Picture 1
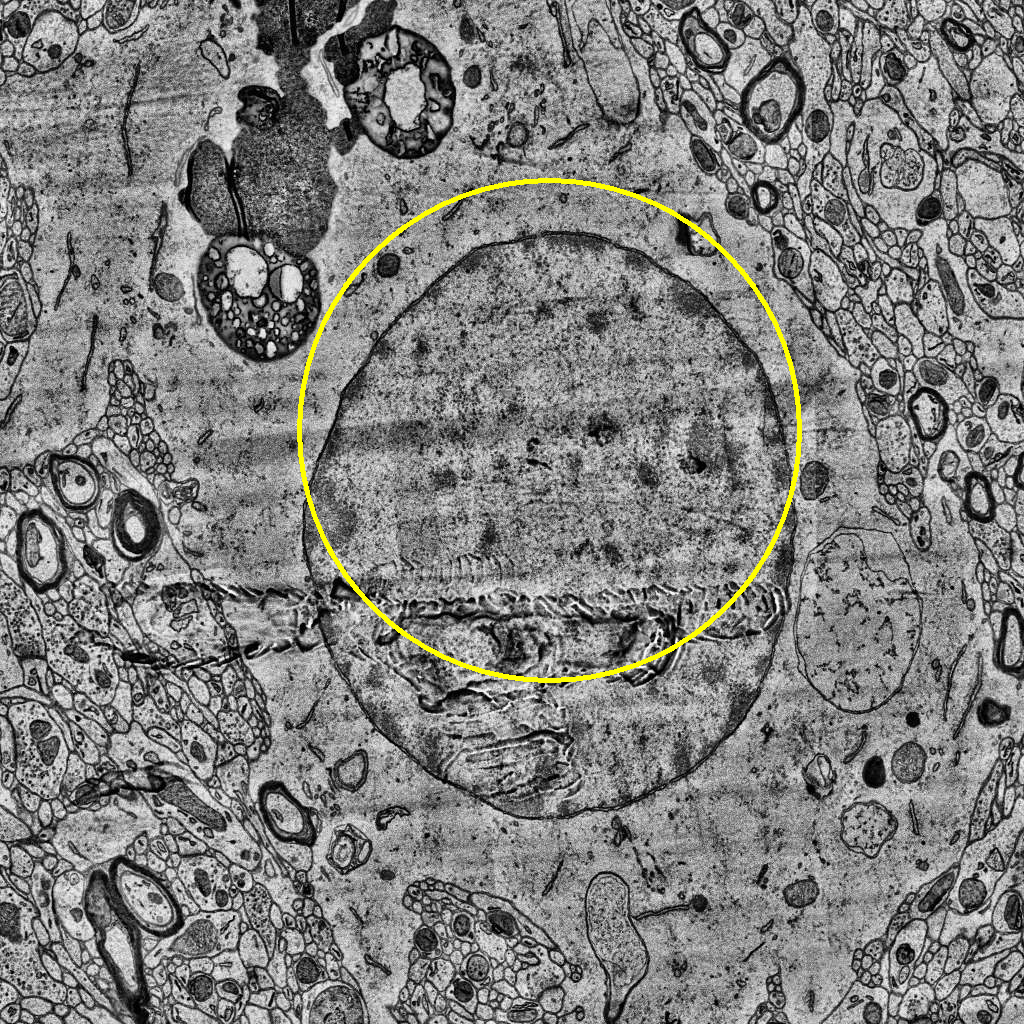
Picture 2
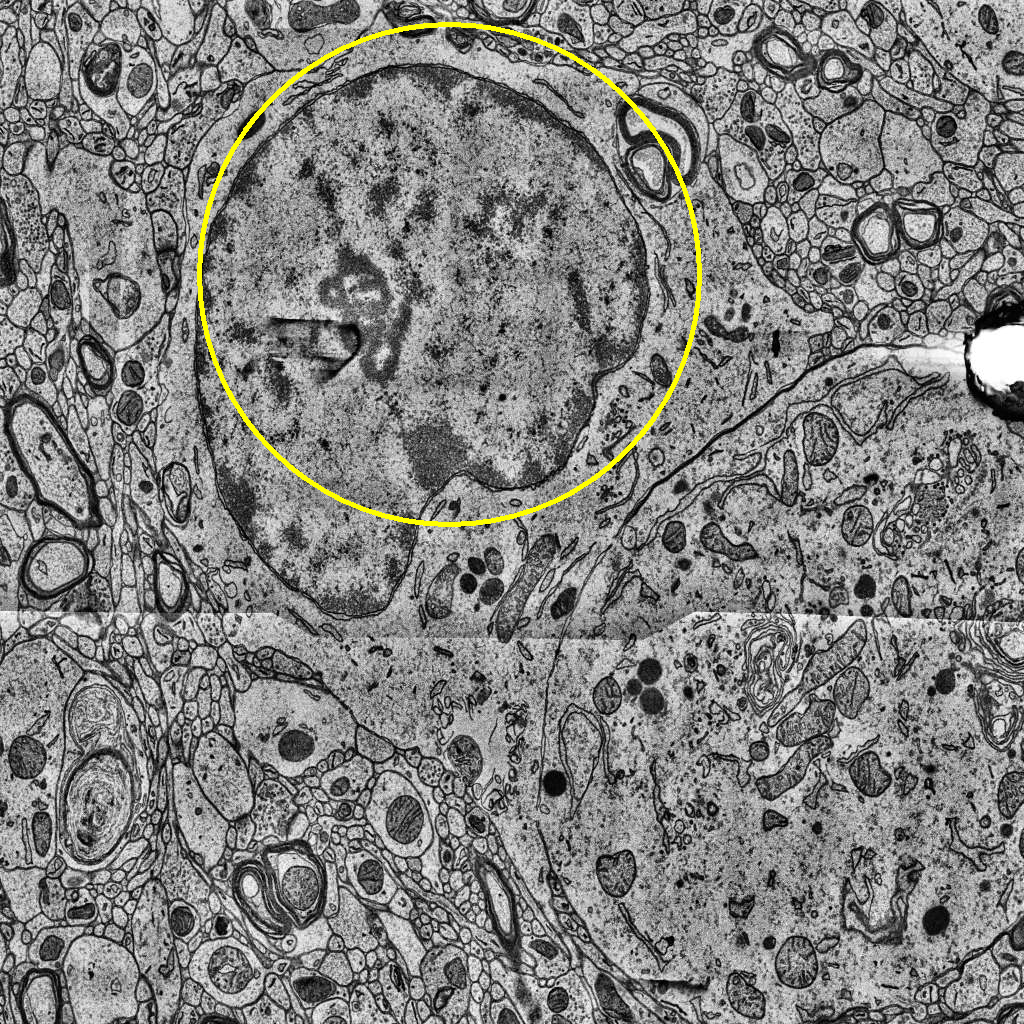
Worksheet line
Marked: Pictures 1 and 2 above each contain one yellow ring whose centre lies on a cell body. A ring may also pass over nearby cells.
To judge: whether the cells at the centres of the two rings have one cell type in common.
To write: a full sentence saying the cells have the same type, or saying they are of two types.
The cells at the centres of the rings in Picture 1 and Picture 2 are of two types.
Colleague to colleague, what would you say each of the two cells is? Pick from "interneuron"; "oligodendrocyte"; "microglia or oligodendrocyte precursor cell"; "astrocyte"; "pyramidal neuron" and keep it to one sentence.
The two cells are an astrocyte in the first picture and a microglial cell or oligodendrocyte precursor cell in the second.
